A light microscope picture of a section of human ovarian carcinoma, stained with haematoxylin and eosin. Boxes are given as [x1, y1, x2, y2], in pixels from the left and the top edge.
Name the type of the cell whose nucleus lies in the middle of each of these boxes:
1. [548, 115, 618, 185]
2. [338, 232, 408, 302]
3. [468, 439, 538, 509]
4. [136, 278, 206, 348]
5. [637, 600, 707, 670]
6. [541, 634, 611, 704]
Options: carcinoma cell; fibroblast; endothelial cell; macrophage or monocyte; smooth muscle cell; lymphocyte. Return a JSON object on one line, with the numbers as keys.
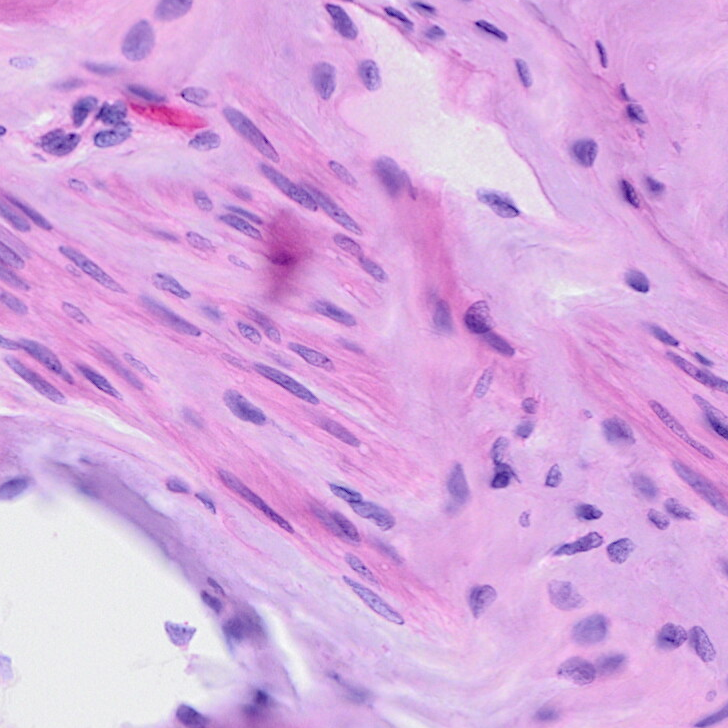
{"1": "fibroblast", "2": "smooth muscle cell", "3": "fibroblast", "4": "smooth muscle cell", "5": "fibroblast", "6": "fibroblast"}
